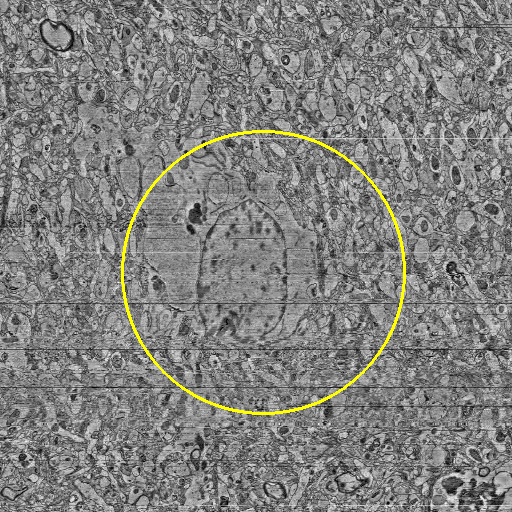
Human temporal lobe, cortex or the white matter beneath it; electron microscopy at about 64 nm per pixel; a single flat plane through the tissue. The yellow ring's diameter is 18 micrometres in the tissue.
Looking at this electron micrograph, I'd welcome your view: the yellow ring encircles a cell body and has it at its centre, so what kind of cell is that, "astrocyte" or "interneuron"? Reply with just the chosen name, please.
astrocyte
